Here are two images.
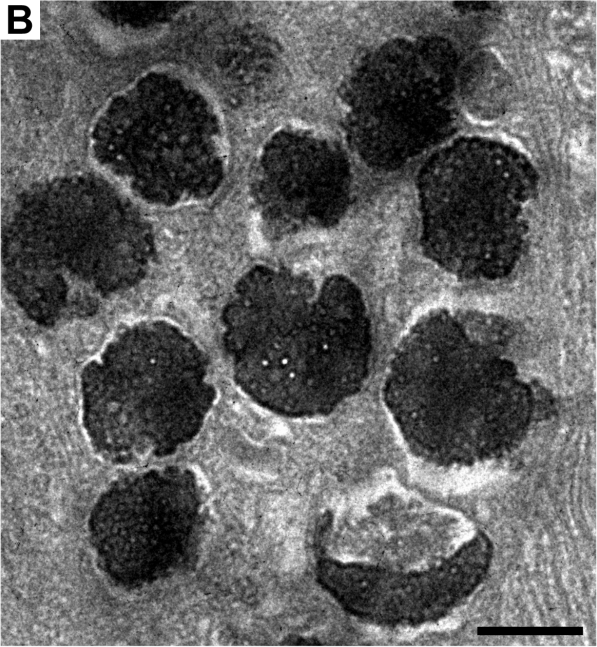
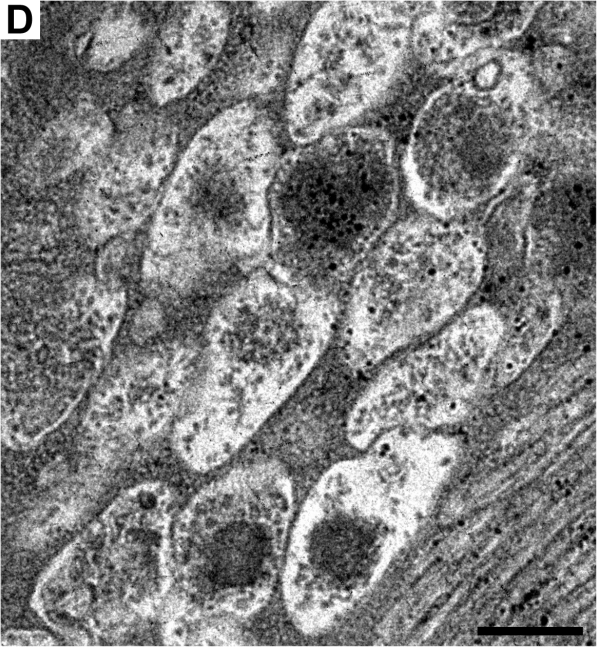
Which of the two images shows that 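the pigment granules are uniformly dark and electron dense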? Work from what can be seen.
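Second image: the granules are mostly pale with a flocculent content and only a darker central patch. First image: the granules are filled with dark, electron-dense material throughout. That points to this answer: the first image.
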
